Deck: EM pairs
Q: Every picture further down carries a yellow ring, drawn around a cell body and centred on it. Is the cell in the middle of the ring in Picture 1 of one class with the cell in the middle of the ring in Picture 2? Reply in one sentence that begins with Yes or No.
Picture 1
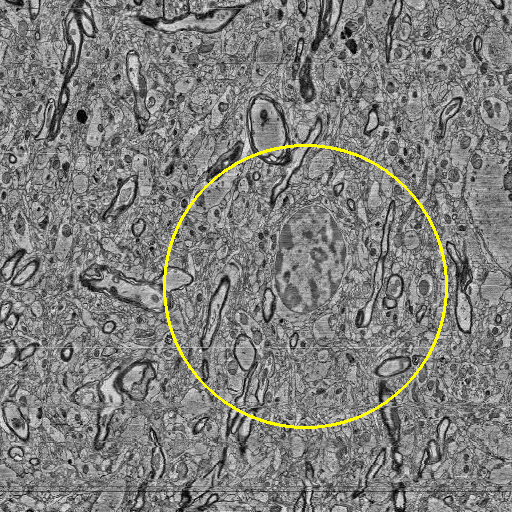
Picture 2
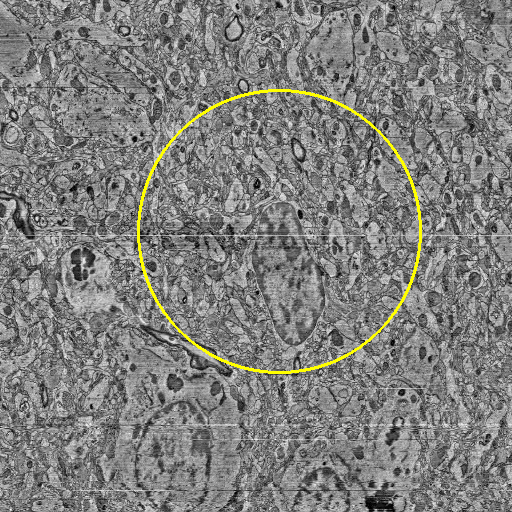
Yes, the cell centred in the ring of Picture 1 and the one in Picture 2 belong to one class.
